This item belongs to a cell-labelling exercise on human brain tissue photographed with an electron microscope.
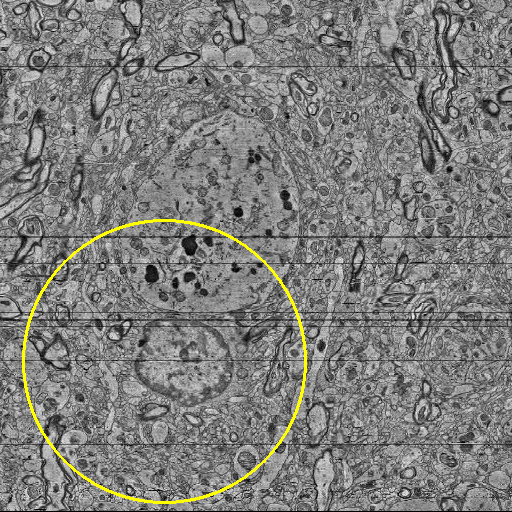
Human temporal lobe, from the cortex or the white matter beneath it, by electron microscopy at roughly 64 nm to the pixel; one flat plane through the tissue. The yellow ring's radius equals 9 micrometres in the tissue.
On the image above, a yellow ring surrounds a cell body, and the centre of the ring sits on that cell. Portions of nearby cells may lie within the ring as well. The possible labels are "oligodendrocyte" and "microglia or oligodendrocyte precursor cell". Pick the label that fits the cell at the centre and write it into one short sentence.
This cell should be labelled as an oligodendrocyte.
